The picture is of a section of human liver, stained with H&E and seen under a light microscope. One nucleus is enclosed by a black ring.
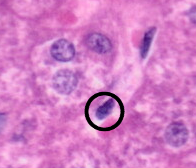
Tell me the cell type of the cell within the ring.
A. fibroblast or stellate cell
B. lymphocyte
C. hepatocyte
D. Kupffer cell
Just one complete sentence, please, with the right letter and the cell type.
Among the choices, option B is correct, the cell within the ring being a lymphocyte.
